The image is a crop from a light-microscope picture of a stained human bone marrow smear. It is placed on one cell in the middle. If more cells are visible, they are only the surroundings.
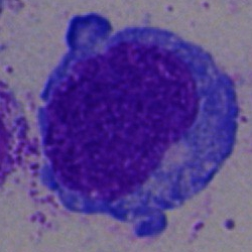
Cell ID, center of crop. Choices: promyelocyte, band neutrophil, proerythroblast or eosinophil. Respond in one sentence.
The cell under consideration, at the middle of the crop, is a promyelocyte.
